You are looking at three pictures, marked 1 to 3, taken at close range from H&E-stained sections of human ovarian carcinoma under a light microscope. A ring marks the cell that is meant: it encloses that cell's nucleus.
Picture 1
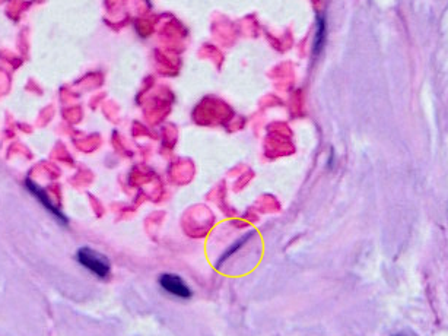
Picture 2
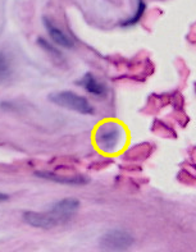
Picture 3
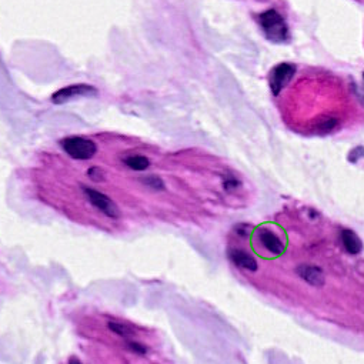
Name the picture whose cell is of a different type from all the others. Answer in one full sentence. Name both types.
The different one is picture 3; it shows a smooth muscle cell, whereas all the others show endothelial cells.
